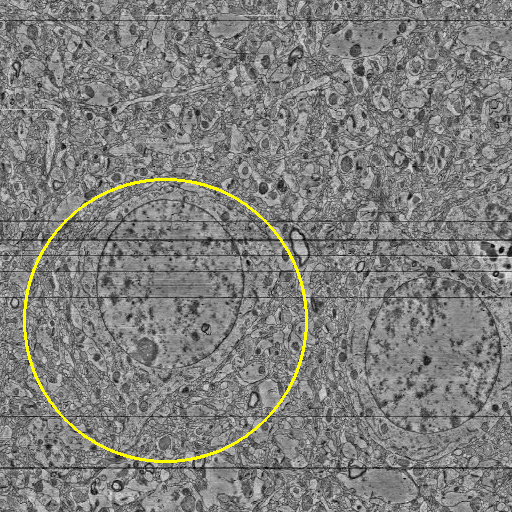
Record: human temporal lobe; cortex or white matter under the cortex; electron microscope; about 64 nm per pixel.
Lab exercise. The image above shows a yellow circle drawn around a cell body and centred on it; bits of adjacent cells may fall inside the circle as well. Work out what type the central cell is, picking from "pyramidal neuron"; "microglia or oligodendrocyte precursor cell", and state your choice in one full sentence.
In the image above, the cell at the centre of the yellow circle is a pyramidal neuron.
